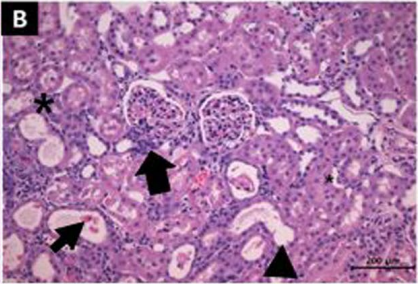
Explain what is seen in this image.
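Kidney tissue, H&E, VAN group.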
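Renal cortex in which two glomeruli lie among damaged tubules. Many tubules are widened, with pale open lumens and thin, flattened lining cells. Some lumens contain detached pink material and cell debris, and several tubular cells show pale, cleared cytoplasm. Between tubules, dense clusters of small dark blue nuclei mark an inflammatory infiltrate in the interstitium. The glomeruli keep their round tufts within a clear capsular space.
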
